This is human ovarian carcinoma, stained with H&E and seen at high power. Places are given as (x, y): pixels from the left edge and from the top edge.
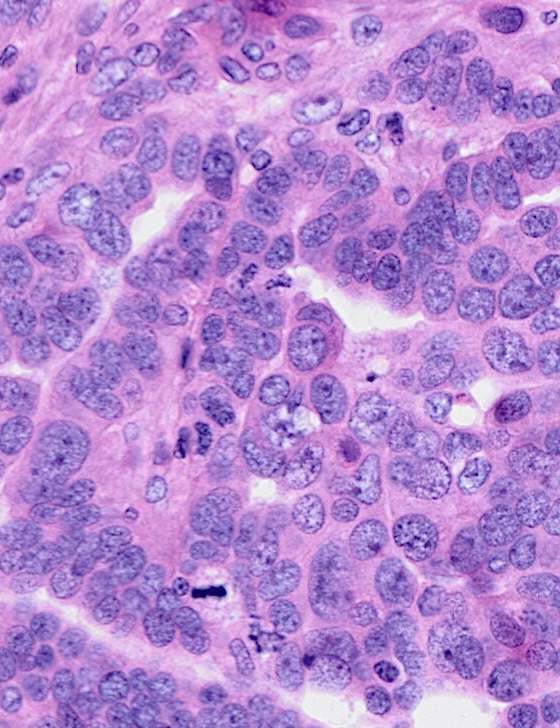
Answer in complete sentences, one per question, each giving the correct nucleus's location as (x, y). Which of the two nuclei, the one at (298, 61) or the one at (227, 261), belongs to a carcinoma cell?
The nucleus located at (227, 261) is the one held within a carcinoma cell.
